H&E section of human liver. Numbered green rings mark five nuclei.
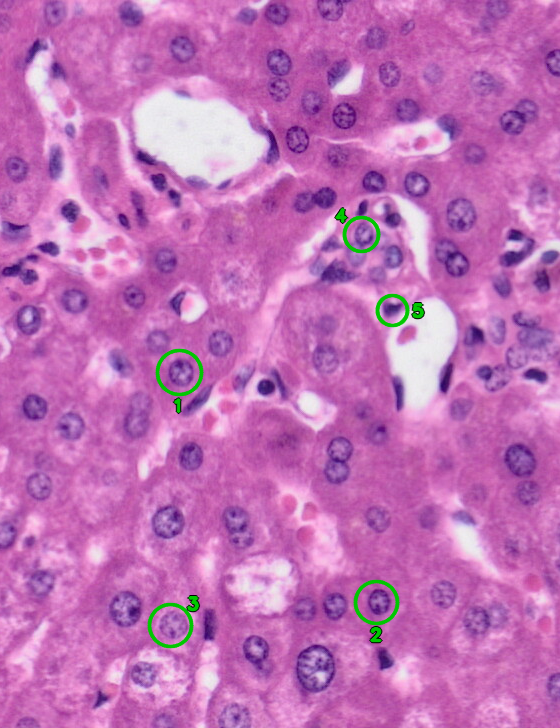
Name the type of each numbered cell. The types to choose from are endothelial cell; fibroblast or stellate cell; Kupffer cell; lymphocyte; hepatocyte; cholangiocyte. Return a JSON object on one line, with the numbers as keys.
{"1": "hepatocyte", "2": "hepatocyte", "3": "hepatocyte", "4": "cholangiocyte", "5": "fibroblast or stellate cell"}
